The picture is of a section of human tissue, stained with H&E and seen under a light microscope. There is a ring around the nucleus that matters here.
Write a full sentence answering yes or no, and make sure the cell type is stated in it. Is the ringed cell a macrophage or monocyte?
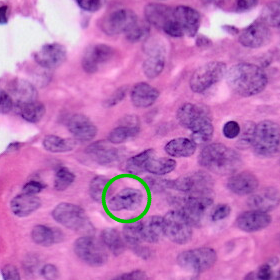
Yes, it is a macrophage or monocyte that the ringed cell represents in this section.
